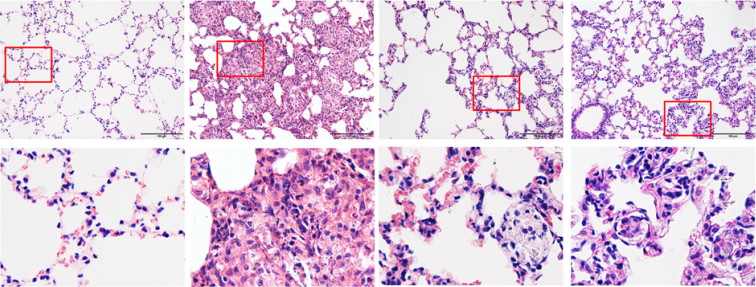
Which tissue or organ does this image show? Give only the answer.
Lung tissue.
